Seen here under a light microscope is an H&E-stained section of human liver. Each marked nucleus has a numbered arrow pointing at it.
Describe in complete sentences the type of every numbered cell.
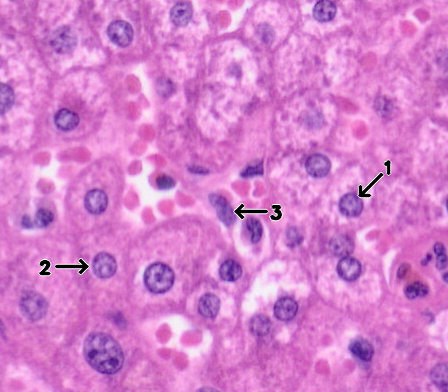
Cell 1 is a hepatocyte, cell 2 is a hepatocyte and cell 3 is a Kupffer cell.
